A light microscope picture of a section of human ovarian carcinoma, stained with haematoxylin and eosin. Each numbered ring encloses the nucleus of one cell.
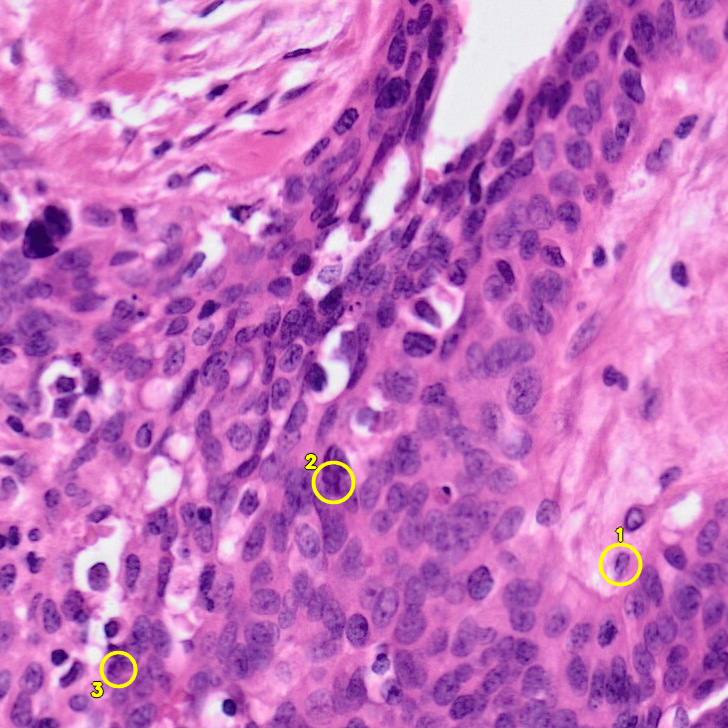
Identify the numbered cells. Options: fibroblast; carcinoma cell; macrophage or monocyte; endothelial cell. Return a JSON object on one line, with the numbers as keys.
{"1": "macrophage or monocyte", "2": "carcinoma cell", "3": "carcinoma cell"}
